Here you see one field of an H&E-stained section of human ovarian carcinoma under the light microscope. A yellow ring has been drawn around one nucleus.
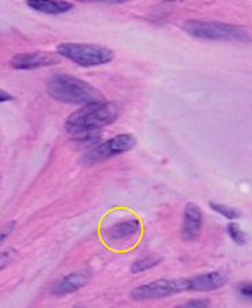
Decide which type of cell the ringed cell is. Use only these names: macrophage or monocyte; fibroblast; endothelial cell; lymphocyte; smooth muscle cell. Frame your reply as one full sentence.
As to its cell type, the ringed cell is a smooth muscle cell.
